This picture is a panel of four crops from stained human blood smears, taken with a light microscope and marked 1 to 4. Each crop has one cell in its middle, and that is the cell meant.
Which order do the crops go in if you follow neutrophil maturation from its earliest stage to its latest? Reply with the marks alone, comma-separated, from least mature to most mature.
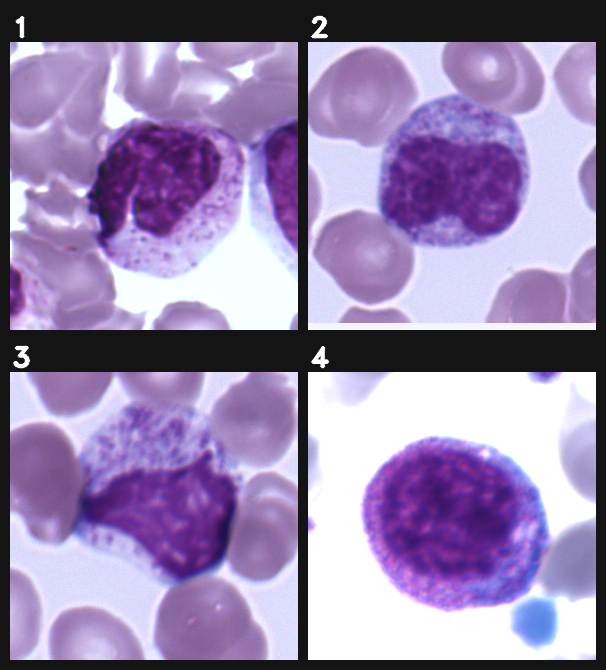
4, 3, 2, 1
